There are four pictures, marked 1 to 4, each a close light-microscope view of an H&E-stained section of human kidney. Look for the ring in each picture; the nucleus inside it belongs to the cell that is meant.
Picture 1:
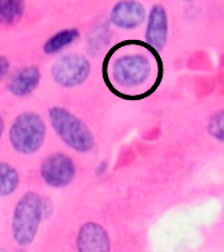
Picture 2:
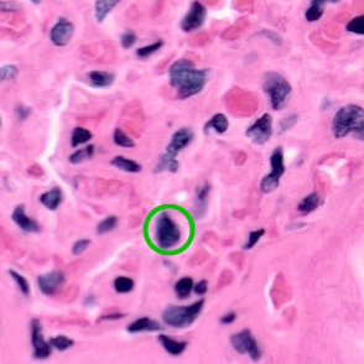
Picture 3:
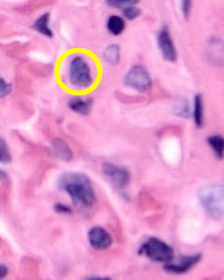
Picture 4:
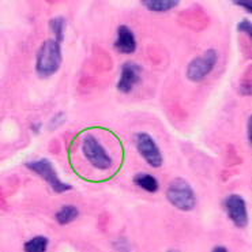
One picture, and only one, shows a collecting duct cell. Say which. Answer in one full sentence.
Picture 1 is the one that shows the collecting duct cell.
